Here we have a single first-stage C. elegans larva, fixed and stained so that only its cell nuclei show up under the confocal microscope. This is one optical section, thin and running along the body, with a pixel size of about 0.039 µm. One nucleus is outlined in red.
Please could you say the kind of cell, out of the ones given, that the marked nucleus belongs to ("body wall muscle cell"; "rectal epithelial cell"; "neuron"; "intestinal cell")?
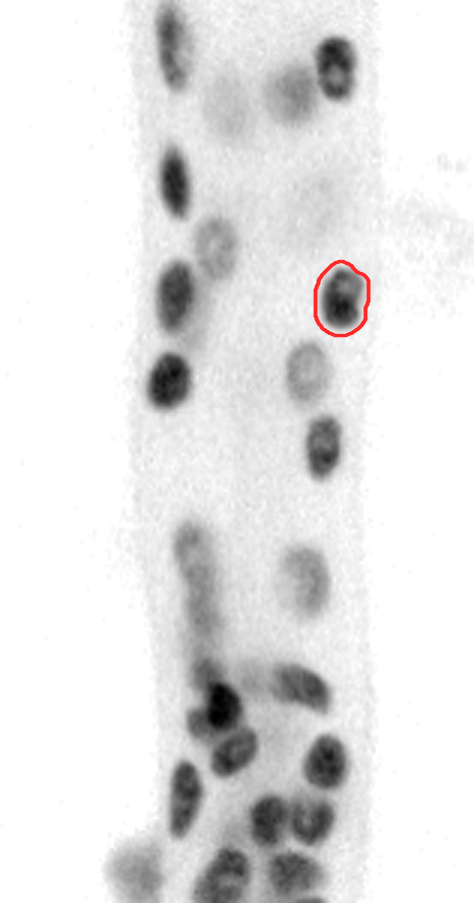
body wall muscle cell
